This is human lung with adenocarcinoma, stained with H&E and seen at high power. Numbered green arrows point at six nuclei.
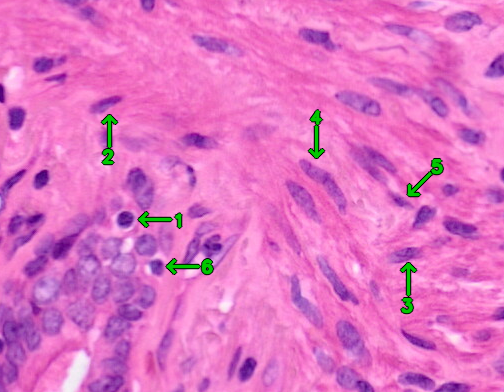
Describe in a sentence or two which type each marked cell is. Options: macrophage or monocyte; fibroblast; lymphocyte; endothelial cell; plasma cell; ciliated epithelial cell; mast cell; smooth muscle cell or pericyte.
Cells 1 and 6 are lymphocytes. Cells 2, 3, 4 and 5 are smooth muscle cells or pericytes.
